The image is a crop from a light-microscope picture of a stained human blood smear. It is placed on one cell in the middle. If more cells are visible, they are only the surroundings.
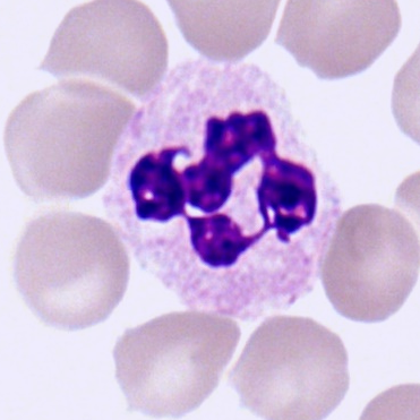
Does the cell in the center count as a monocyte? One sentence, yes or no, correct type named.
No, it is a segmented neutrophil rather than a monocyte that the middle of the crop contains.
